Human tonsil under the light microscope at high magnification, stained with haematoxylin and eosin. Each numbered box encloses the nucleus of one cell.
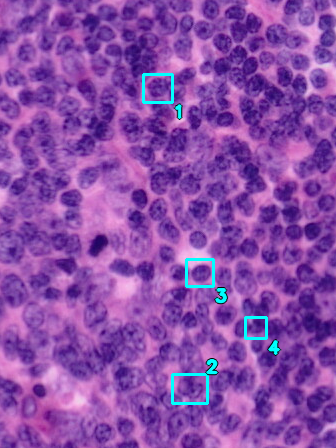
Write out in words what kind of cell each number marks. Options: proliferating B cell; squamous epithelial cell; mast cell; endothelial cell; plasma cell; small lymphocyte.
Cell 1 is a small lymphocyte, cell 2 is a proliferating B cell, cell 3 is a small lymphocyte and cell 4 is a small lymphocyte.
